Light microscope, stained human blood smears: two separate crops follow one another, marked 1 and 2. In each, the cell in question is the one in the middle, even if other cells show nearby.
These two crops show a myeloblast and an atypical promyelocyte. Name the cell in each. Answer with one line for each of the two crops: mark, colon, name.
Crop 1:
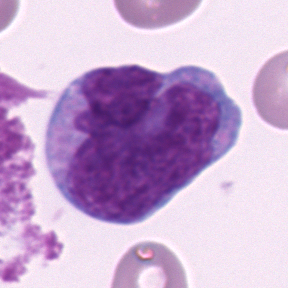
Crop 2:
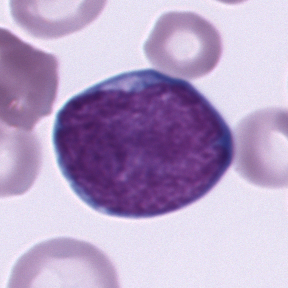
1: atypical promyelocyte
2: myeloblast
